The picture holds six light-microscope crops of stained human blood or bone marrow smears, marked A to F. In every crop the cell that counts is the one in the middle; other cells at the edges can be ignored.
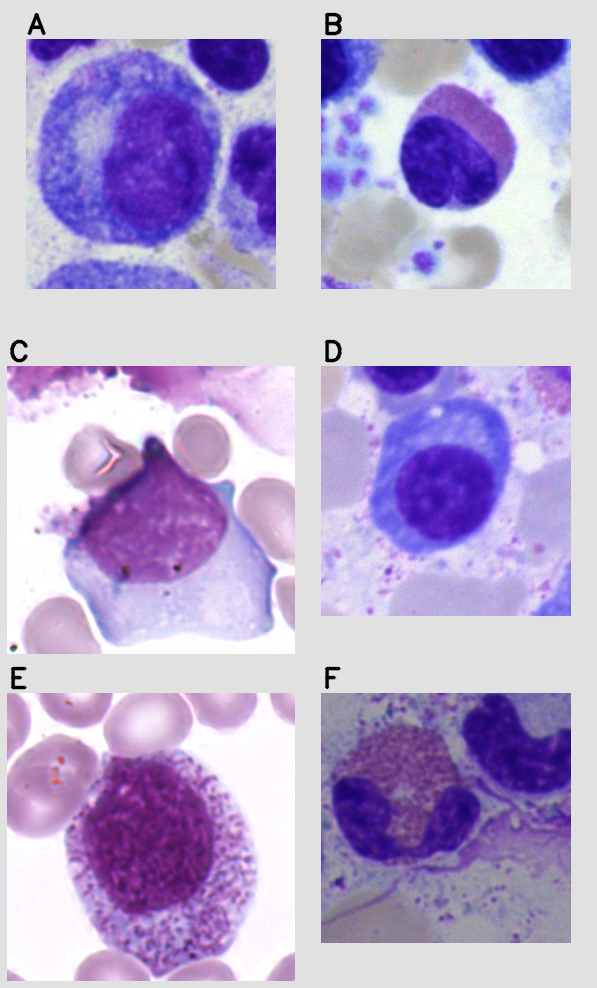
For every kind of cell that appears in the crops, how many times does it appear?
promyelocyte: 2
eosinophil: 2
plasma cell: 2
